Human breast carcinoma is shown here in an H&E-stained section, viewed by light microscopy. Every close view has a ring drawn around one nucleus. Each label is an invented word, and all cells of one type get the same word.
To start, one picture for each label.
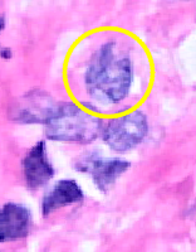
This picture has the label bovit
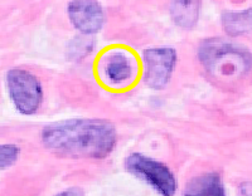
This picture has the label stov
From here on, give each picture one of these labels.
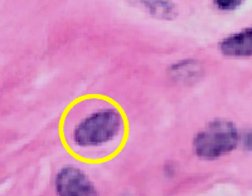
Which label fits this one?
stov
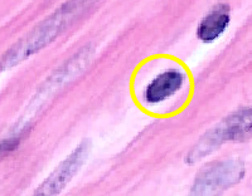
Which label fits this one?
stov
